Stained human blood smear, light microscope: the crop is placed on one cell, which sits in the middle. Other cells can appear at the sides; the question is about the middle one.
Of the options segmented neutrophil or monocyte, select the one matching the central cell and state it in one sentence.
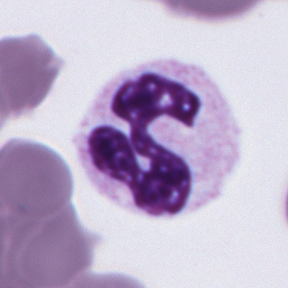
To answer, the cell in the center of the crop is a segmented neutrophil.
